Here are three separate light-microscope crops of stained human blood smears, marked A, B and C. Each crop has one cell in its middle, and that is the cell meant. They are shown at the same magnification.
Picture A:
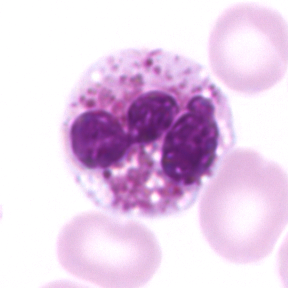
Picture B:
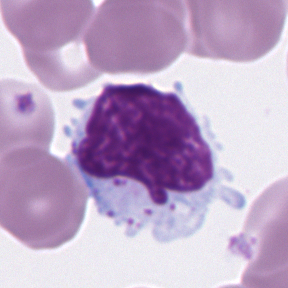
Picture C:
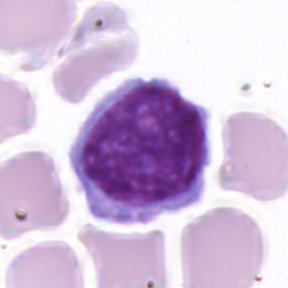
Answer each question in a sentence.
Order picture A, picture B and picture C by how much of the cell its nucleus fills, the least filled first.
From the least filled to the most, the order is A, B, C.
